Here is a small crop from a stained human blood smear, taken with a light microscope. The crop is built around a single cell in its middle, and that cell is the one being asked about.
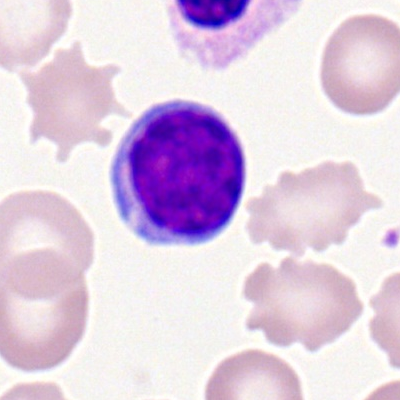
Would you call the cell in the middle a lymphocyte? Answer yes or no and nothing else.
yes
